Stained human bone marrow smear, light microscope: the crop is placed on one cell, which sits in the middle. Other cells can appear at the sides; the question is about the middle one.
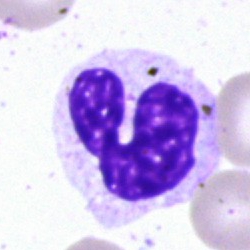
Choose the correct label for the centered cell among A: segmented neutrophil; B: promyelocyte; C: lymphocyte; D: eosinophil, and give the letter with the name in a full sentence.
The cell in the middle is correctly identified as a segmented neutrophil in option A.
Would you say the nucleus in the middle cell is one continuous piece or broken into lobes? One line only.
Kindly observe that the nucleus forms two or more lobes.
